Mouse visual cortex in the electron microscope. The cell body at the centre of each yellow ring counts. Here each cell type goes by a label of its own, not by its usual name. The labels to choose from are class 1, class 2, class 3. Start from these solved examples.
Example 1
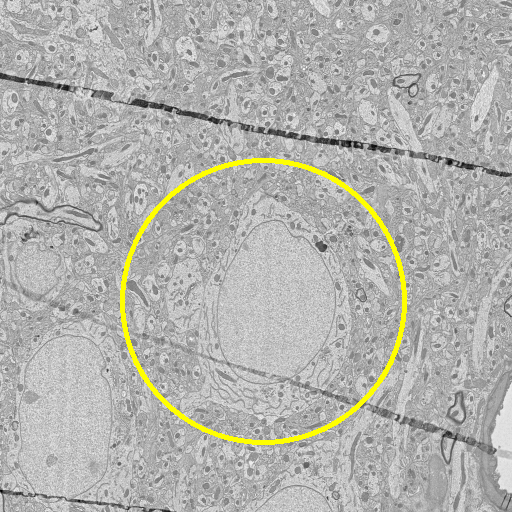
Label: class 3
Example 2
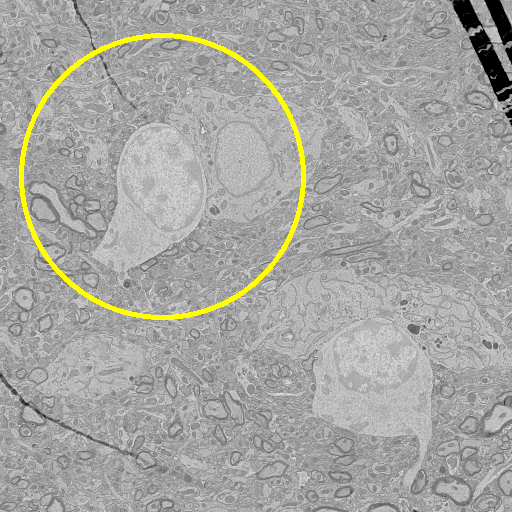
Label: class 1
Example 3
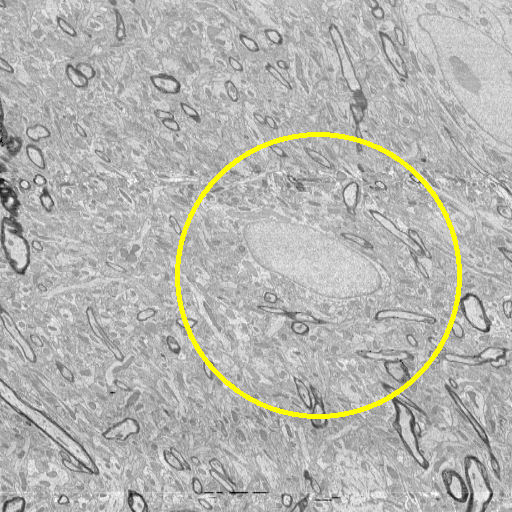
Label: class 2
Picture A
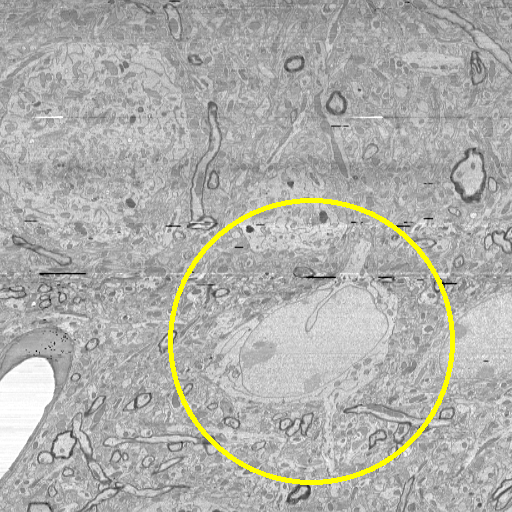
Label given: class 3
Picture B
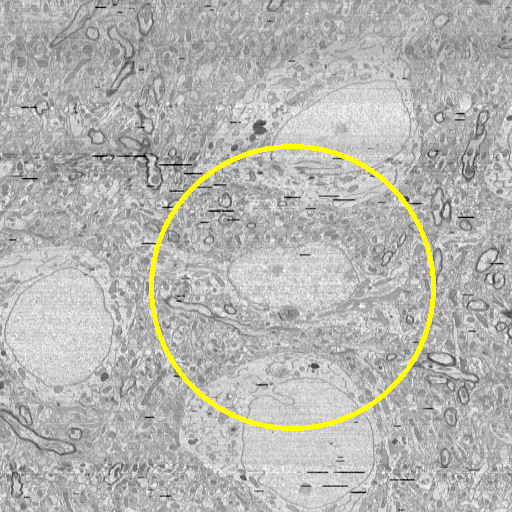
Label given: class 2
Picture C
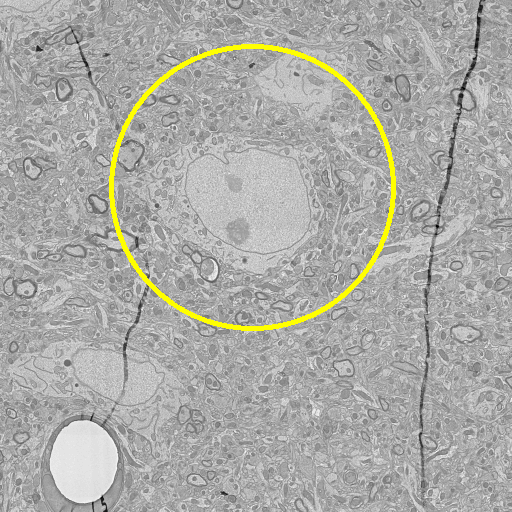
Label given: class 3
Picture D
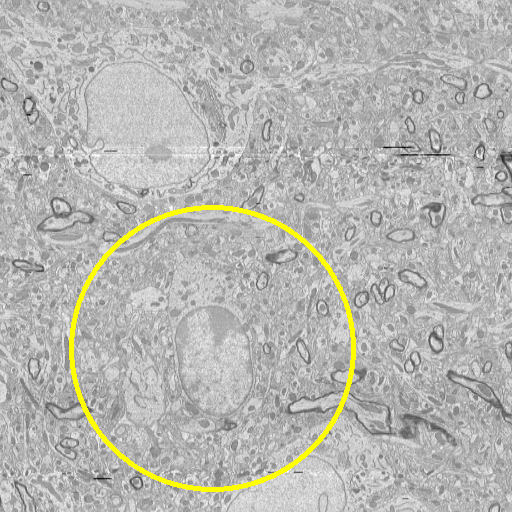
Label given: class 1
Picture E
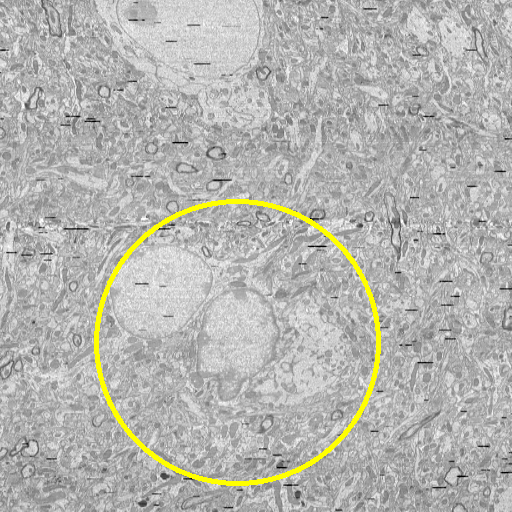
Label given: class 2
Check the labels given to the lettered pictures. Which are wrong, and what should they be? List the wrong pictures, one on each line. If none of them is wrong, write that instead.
All correct.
